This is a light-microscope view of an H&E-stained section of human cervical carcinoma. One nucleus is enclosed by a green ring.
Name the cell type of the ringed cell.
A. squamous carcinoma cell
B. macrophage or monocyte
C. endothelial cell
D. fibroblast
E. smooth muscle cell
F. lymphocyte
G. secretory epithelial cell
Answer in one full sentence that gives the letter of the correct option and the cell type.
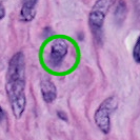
Option E wins here: the ringed cell is a smooth muscle cell.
